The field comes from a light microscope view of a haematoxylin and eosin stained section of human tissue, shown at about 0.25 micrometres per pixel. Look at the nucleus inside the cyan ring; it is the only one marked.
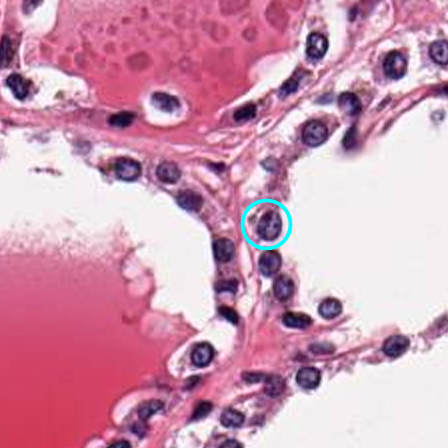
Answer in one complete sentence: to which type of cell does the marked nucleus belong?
The nucleus singled out by the mark belongs to a thyroid follicular cell.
